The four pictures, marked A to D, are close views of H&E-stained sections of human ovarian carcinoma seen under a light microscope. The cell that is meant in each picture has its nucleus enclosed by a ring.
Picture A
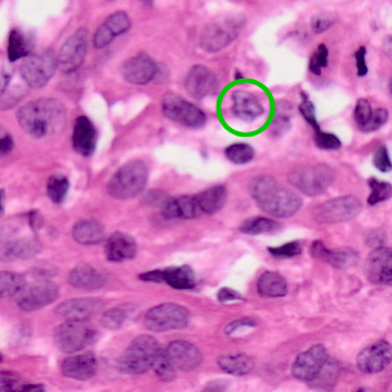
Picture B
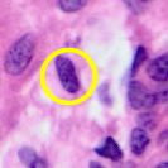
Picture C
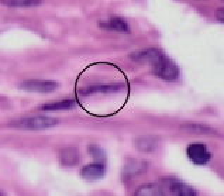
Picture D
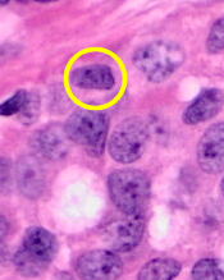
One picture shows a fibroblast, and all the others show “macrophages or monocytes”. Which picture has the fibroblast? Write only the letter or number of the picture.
C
